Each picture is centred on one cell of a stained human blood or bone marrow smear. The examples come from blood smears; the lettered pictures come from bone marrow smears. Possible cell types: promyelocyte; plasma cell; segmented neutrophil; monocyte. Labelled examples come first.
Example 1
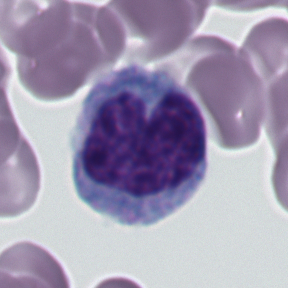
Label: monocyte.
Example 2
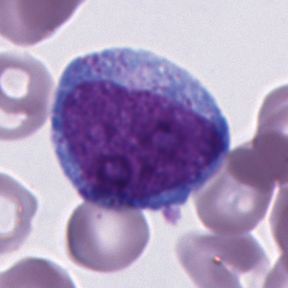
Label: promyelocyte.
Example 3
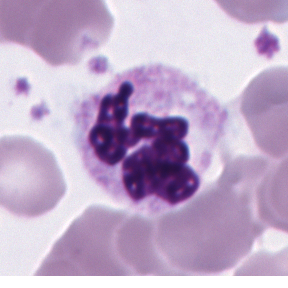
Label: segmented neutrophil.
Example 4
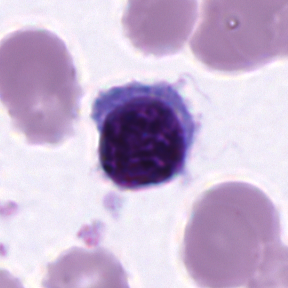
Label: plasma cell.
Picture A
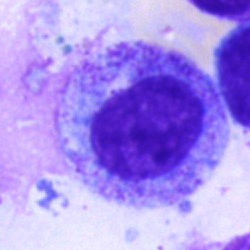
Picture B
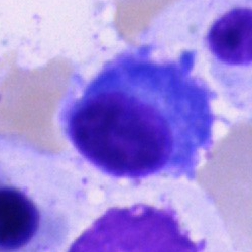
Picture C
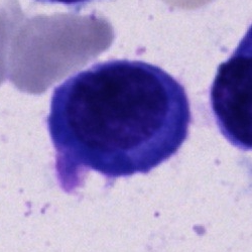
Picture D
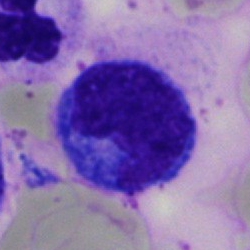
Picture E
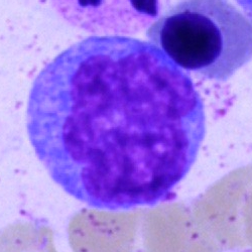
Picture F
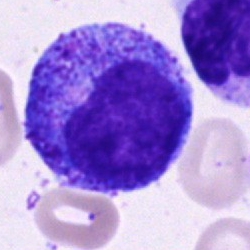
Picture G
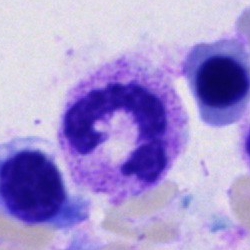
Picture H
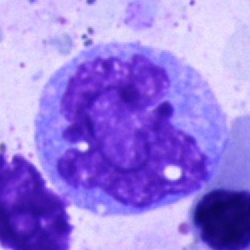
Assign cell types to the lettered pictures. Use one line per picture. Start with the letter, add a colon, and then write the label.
A: promyelocyte.
B: plasma cell.
C: plasma cell.
D: monocyte.
E: monocyte.
F: promyelocyte.
G: segmented neutrophil.
H: monocyte.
